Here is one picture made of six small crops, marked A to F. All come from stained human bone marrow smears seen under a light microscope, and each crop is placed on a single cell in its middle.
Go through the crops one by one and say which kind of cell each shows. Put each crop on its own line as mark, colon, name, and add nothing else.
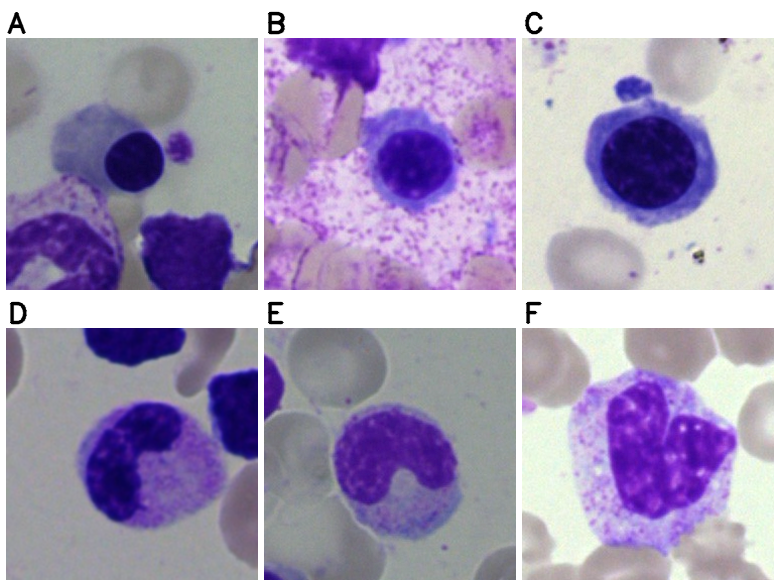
A: erythroblast
B: erythroblast
C: erythroblast
D: band neutrophil
E: band neutrophil
F: band neutrophil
